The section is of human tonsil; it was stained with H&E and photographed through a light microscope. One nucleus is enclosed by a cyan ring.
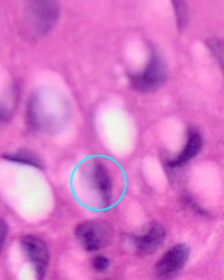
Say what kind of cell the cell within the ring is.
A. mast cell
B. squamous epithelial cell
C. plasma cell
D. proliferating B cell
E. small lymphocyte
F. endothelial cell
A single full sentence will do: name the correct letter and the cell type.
Of all the options, B is right, since the cell within the ring is a squamous epithelial cell.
